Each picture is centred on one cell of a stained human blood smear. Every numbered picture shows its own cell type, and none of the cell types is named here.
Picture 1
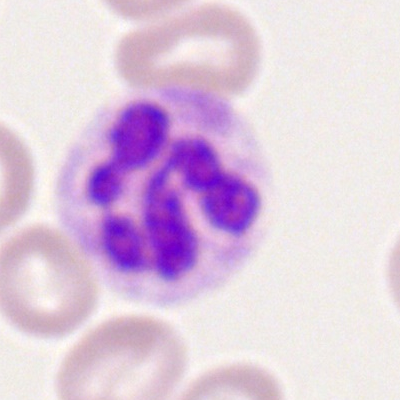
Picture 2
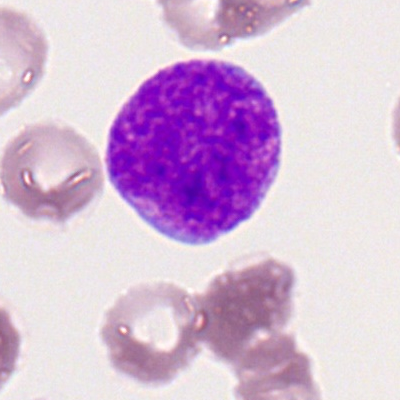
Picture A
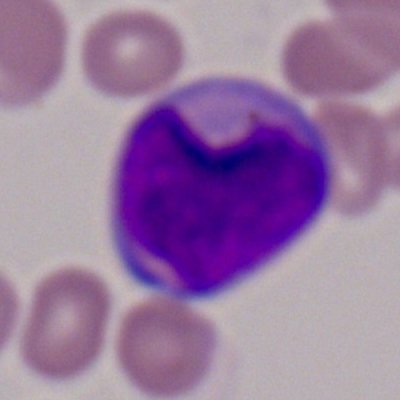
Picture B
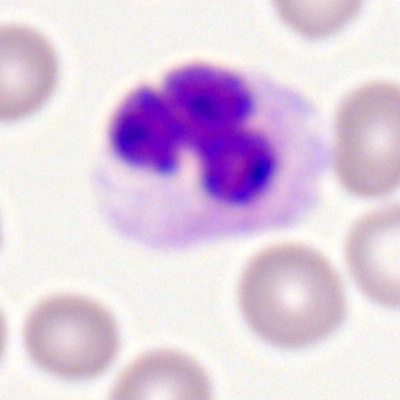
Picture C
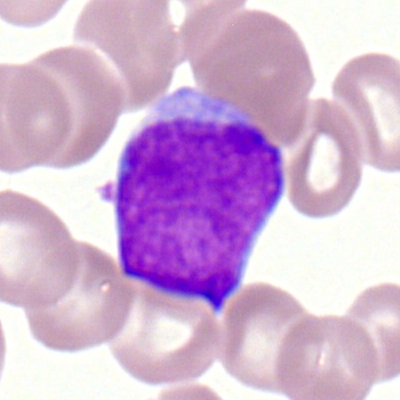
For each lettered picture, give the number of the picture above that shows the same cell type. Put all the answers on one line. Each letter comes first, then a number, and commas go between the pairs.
A 2, B 1, C 2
